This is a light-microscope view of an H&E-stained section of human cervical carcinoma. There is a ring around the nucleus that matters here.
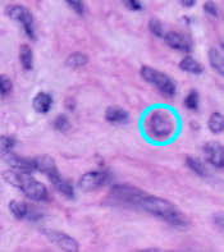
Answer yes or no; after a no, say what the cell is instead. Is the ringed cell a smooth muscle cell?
Yes.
